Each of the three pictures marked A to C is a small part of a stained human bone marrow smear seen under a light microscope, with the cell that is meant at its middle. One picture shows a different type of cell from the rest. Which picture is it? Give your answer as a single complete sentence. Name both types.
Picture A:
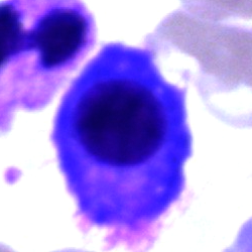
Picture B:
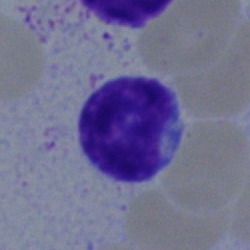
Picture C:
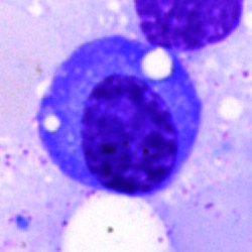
The others show plasma cells, but picture B shows a lymphocyte.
